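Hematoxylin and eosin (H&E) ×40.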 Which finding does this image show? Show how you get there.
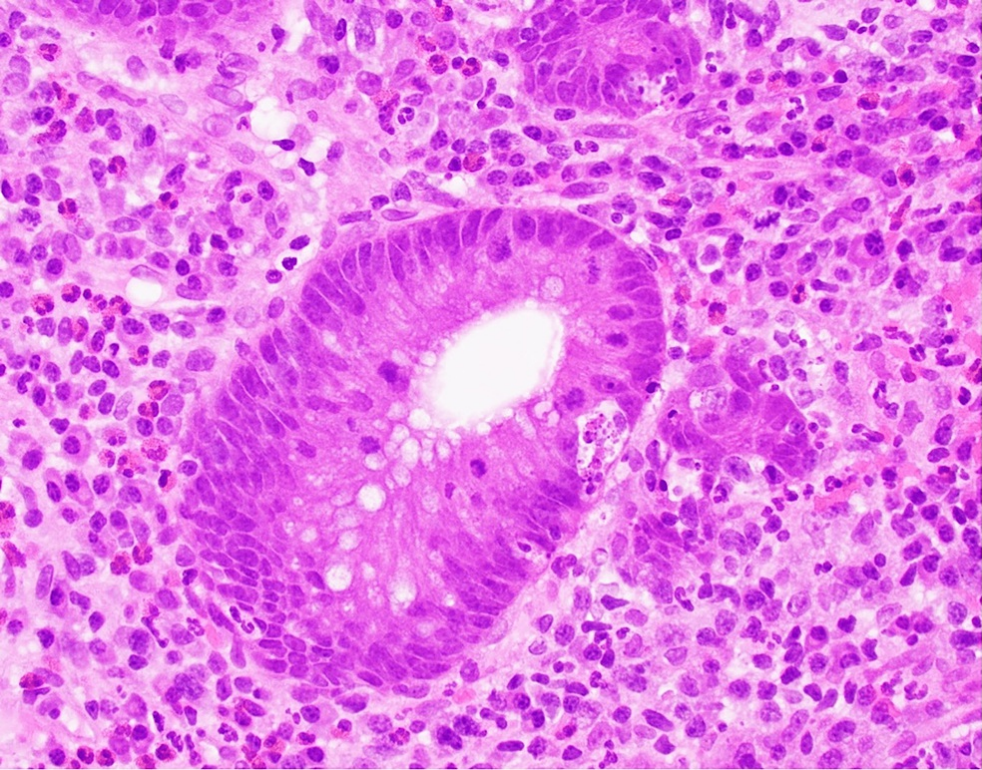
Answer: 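The crypt lining cells have enlarged, elongated, crowded nuclei. Only small scattered clear mucin vacuoles remain near the lumen instead of plump goblet cells. So: reactive epithelial changes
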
